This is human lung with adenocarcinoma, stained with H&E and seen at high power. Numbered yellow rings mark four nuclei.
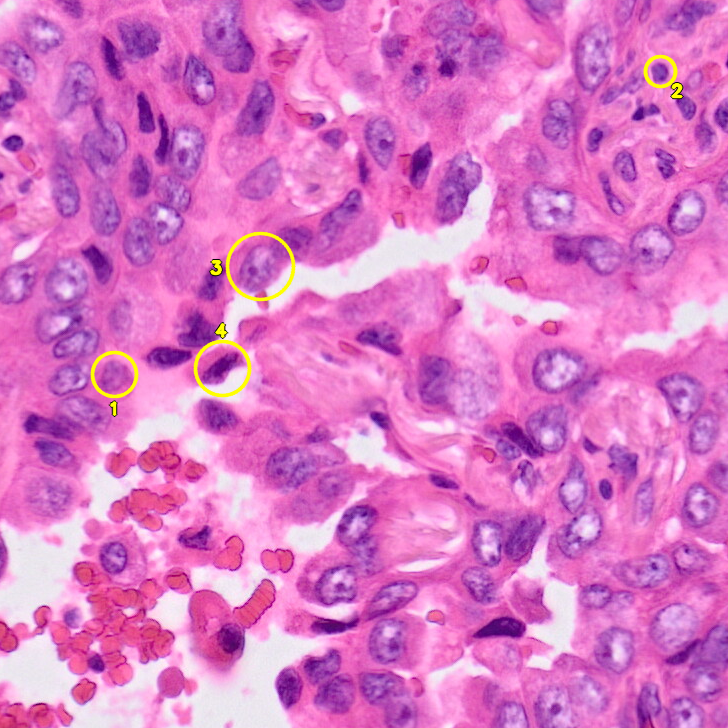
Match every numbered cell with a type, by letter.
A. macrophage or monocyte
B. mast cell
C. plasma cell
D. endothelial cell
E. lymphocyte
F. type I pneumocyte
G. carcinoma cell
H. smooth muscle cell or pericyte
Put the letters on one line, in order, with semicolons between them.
G; E; G; G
